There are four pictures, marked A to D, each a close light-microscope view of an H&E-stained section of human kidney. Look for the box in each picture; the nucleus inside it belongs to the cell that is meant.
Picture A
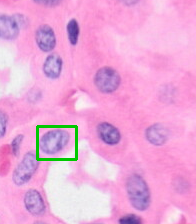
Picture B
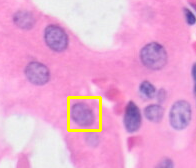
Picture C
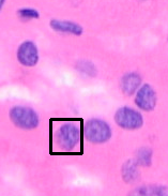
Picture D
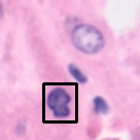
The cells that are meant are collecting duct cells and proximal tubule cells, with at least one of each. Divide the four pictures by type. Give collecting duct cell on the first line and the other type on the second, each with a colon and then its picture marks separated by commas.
collecting duct cell: A, C
proximal tubule cell: B, D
